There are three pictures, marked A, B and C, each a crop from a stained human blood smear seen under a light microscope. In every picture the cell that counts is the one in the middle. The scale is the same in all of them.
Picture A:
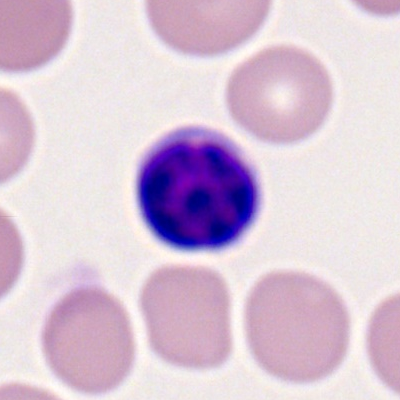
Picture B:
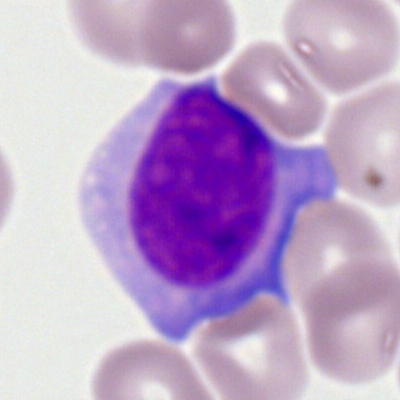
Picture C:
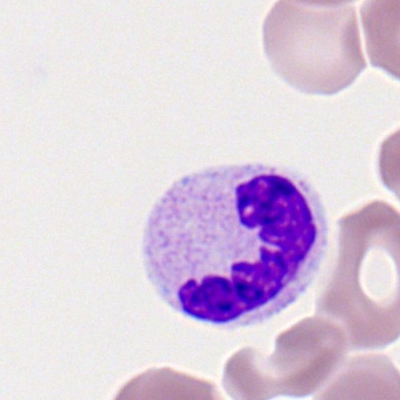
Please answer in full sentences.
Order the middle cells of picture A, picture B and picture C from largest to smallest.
From the largest down, the order is B, C, A.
